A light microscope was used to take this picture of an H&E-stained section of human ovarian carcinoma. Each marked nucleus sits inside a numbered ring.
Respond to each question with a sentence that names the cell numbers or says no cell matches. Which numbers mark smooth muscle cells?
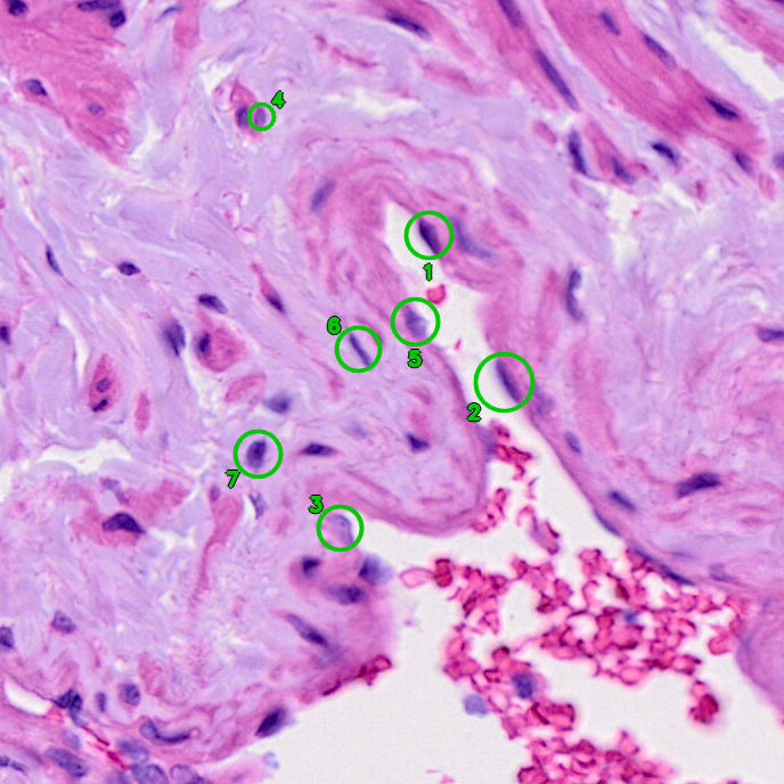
The numbered cell that is a smooth muscle cell is cell 4, and it is the only one.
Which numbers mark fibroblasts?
The cells numbered 6 and 7 are, by type, fibroblasts.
